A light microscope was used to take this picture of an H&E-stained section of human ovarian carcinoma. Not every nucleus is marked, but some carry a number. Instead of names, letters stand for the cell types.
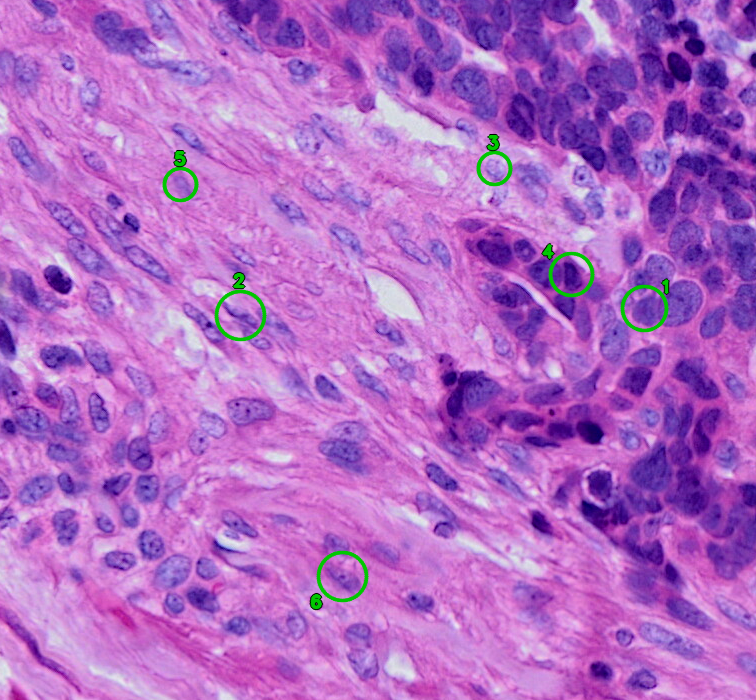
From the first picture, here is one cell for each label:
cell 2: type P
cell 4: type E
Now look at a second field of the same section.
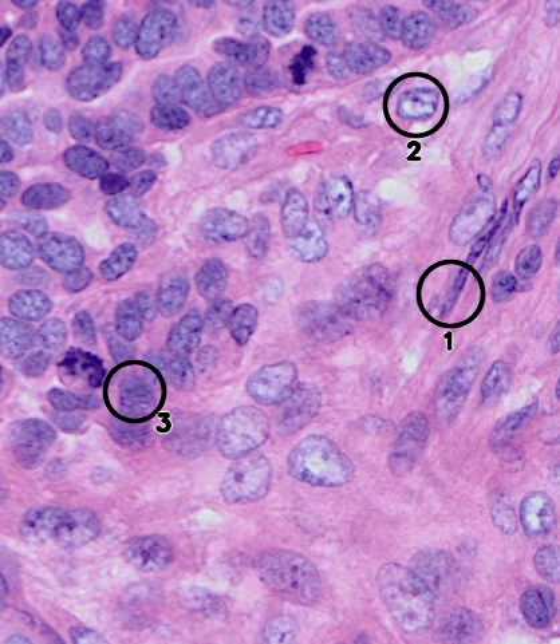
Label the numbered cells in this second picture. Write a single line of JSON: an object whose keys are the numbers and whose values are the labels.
{"1": "type P", "2": "type P", "3": "type E"}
